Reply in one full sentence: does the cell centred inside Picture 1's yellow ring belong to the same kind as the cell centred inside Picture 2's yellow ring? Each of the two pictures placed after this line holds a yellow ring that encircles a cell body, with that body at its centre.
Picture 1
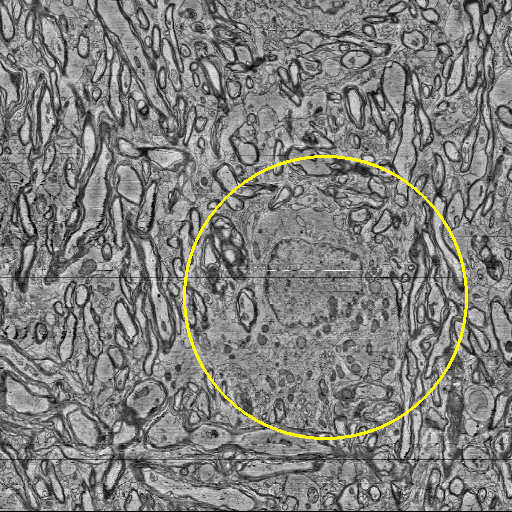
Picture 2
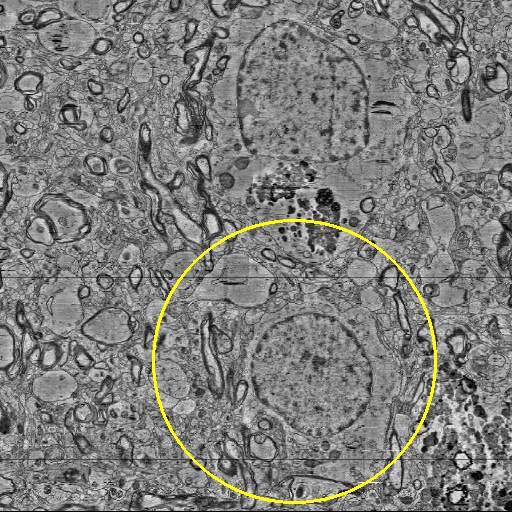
Yes, the ring-centred cells in Picture 1 and Picture 2 are of one and the same kind.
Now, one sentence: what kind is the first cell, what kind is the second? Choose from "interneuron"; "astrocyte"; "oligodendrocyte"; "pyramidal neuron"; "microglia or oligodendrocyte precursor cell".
Each of the ringed cells, first and second, is an astrocyte.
